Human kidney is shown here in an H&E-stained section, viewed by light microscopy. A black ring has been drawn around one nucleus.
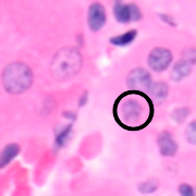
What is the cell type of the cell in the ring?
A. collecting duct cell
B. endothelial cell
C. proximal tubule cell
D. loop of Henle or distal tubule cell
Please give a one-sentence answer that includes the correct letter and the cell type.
Option A names it right: the cell in the ring is a collecting duct cell.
